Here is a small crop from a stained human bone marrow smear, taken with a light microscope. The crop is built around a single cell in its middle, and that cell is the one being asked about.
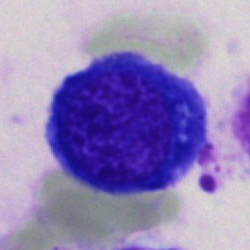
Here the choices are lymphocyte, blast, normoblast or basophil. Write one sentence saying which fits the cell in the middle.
Within this crop, a normoblast occupies the central position.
